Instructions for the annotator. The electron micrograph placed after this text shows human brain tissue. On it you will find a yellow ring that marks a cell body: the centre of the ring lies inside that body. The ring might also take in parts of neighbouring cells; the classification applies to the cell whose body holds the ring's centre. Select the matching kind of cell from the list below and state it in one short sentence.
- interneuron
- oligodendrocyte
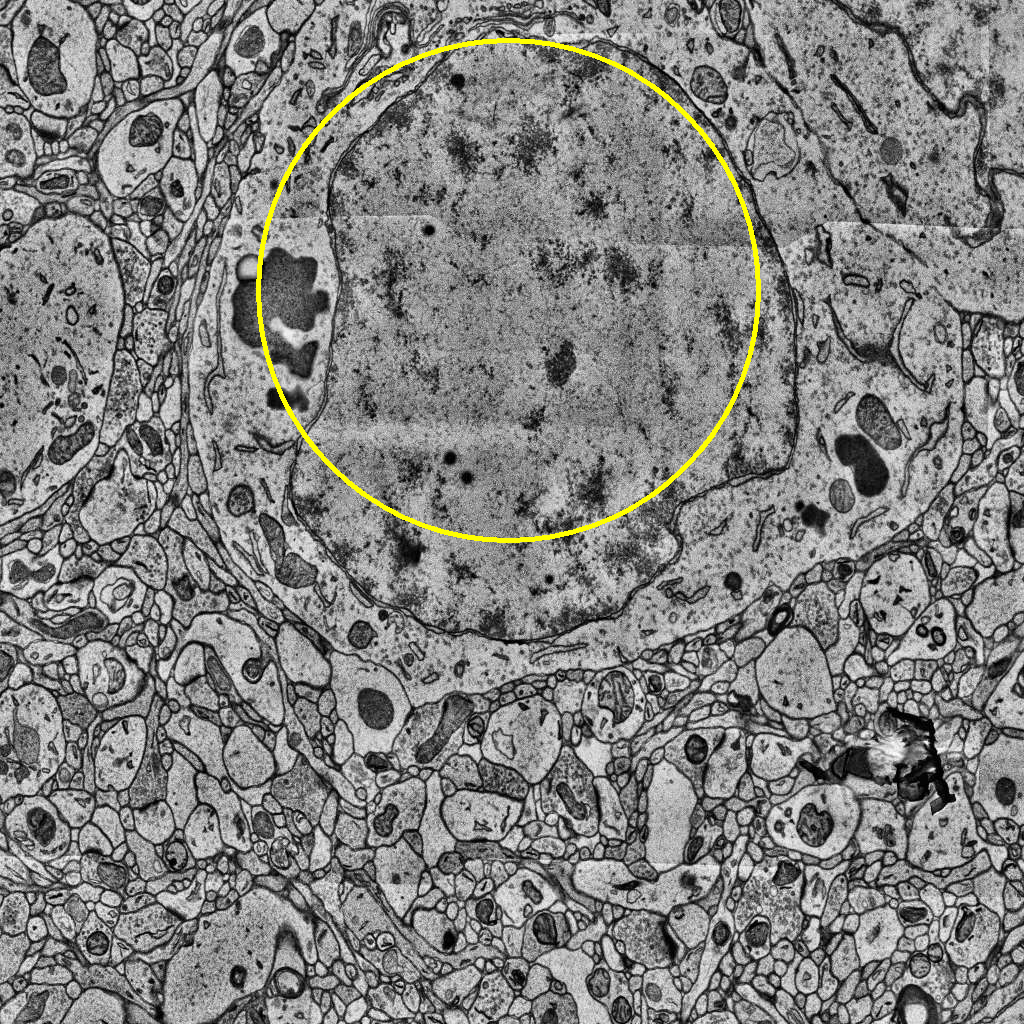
The centre of the ring lies in the cell body of an interneuron.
